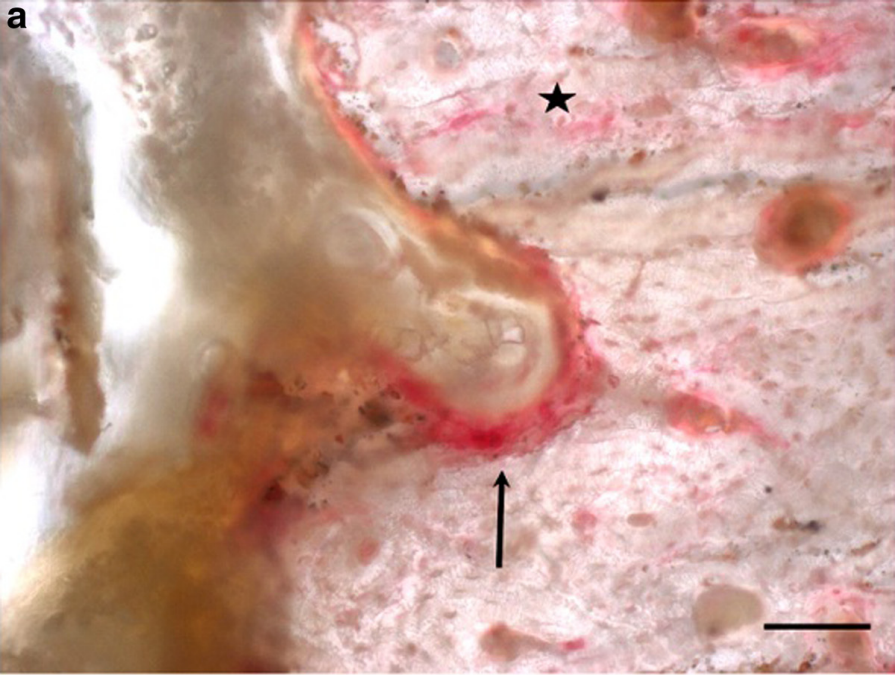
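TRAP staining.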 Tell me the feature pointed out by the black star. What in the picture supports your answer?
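Cement lines. Thin pink-red lines run through the bone matrix near the star.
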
